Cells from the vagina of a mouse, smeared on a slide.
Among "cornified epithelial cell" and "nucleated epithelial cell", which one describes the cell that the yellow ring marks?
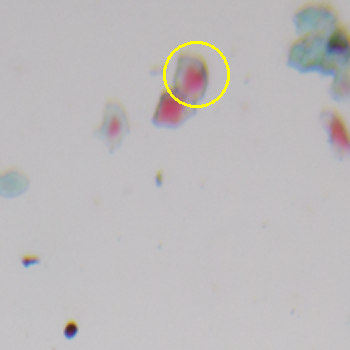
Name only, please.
nucleated epithelial cell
